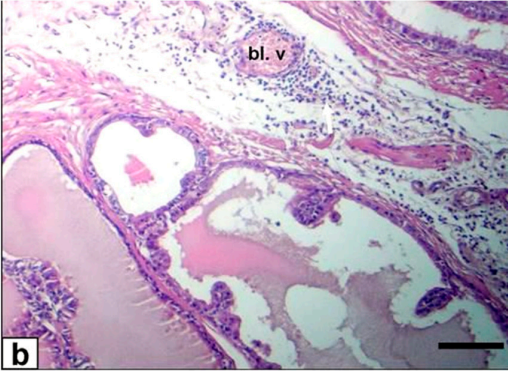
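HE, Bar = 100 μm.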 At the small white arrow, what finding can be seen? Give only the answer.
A: Perivascular inflammatory cell infiltration.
